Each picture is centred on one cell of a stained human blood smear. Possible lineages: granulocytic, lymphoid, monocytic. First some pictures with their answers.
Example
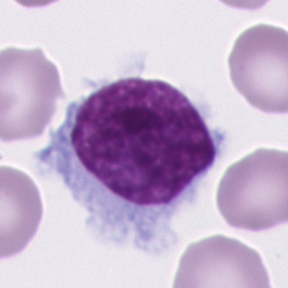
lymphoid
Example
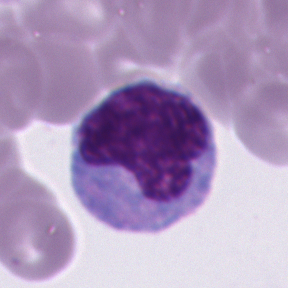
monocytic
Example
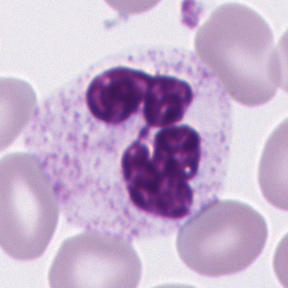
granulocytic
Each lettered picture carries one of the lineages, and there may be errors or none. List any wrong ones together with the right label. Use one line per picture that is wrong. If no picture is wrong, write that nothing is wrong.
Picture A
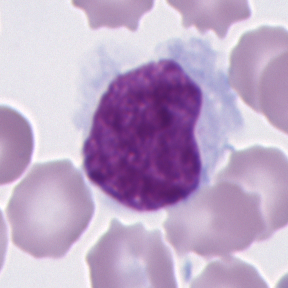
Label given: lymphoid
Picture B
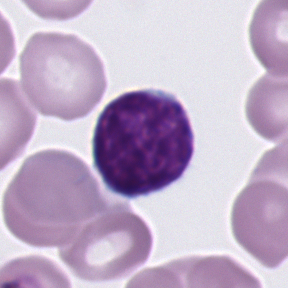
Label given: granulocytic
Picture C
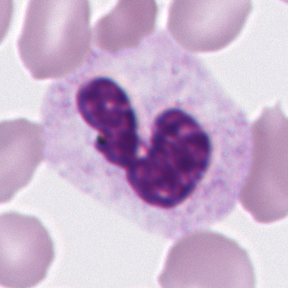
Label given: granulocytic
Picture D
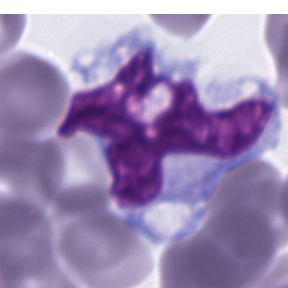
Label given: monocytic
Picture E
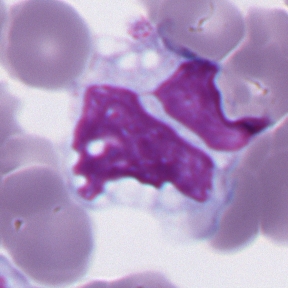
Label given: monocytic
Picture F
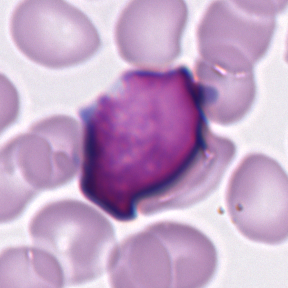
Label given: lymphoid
B is labelled granulocytic; correct label: lymphoid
